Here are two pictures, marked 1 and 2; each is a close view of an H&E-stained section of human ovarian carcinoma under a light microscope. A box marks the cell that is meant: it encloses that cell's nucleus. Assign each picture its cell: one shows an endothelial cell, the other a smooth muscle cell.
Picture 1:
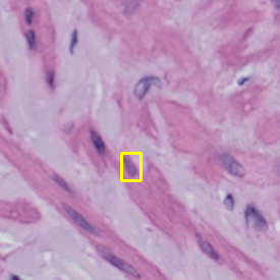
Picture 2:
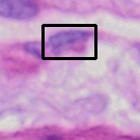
1: smooth muscle cell
2: endothelial cell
